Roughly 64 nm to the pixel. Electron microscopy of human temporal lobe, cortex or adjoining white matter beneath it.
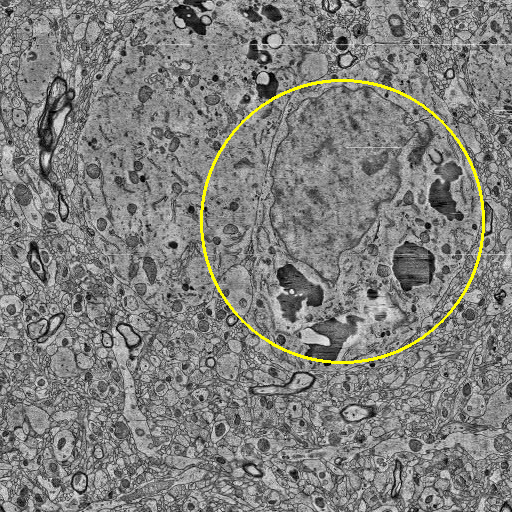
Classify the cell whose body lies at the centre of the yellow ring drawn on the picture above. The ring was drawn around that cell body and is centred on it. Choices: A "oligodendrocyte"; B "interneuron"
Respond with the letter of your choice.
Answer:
B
